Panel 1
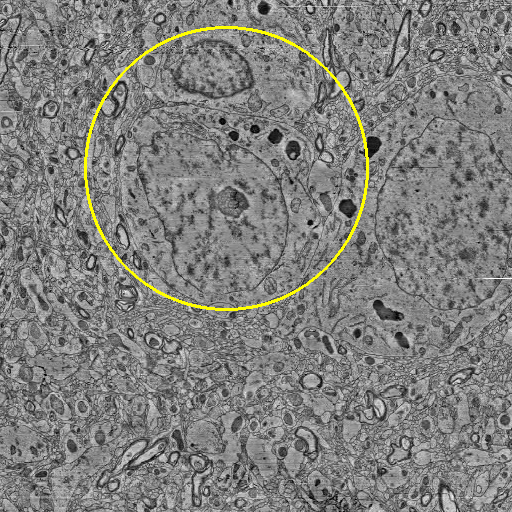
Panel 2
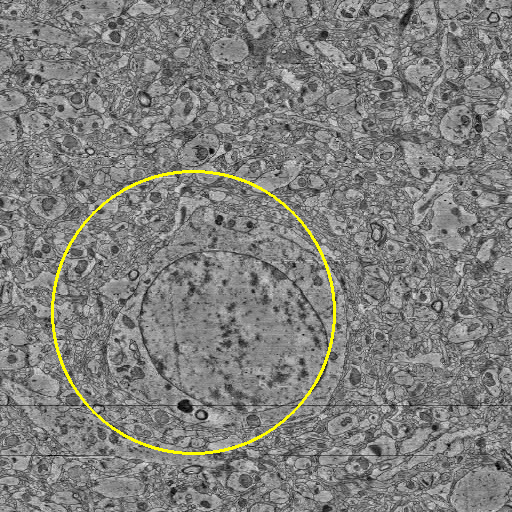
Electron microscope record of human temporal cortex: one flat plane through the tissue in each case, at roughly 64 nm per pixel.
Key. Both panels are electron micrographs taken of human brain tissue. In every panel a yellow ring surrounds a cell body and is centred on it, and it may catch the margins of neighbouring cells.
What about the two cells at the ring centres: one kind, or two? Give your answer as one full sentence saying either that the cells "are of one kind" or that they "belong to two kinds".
Across Panels 1 and 2, the two cells at the ring centres are of one kind.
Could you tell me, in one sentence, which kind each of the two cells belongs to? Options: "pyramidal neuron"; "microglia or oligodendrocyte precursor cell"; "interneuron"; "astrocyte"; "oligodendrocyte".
The ring centre holds a pyramidal neuron in each of the two pictures.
